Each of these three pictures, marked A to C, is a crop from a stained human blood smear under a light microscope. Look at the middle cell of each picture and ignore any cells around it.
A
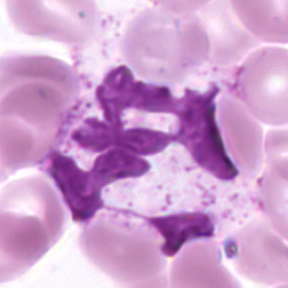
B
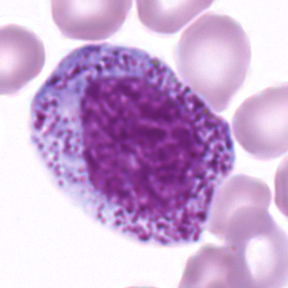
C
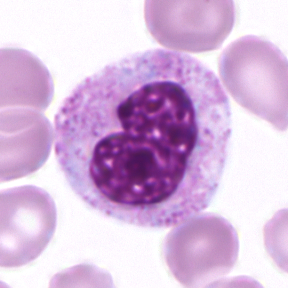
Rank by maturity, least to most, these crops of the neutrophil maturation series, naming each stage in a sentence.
Ordered by maturity, from least to most, the crops are crop B (a promyelocyte), crop C (a band neutrophil) and crop A (a segmented neutrophil).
